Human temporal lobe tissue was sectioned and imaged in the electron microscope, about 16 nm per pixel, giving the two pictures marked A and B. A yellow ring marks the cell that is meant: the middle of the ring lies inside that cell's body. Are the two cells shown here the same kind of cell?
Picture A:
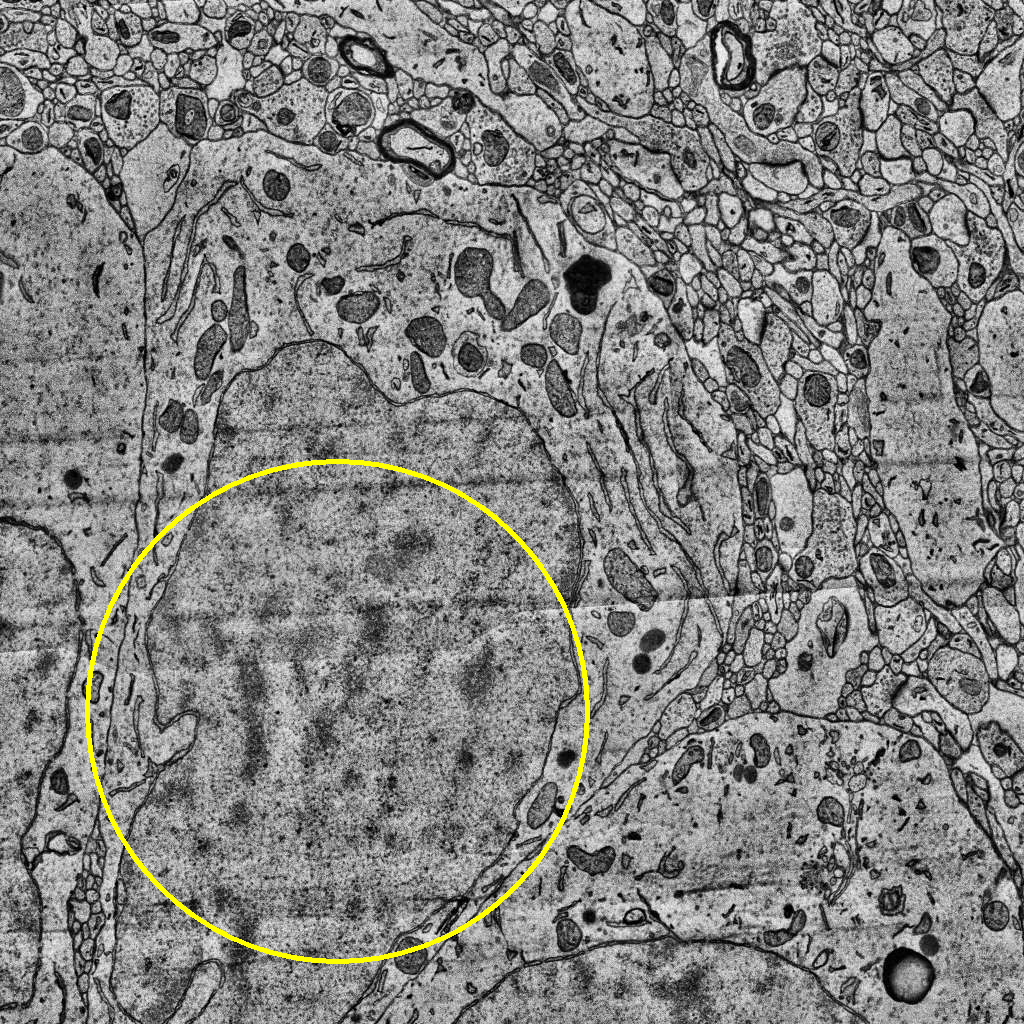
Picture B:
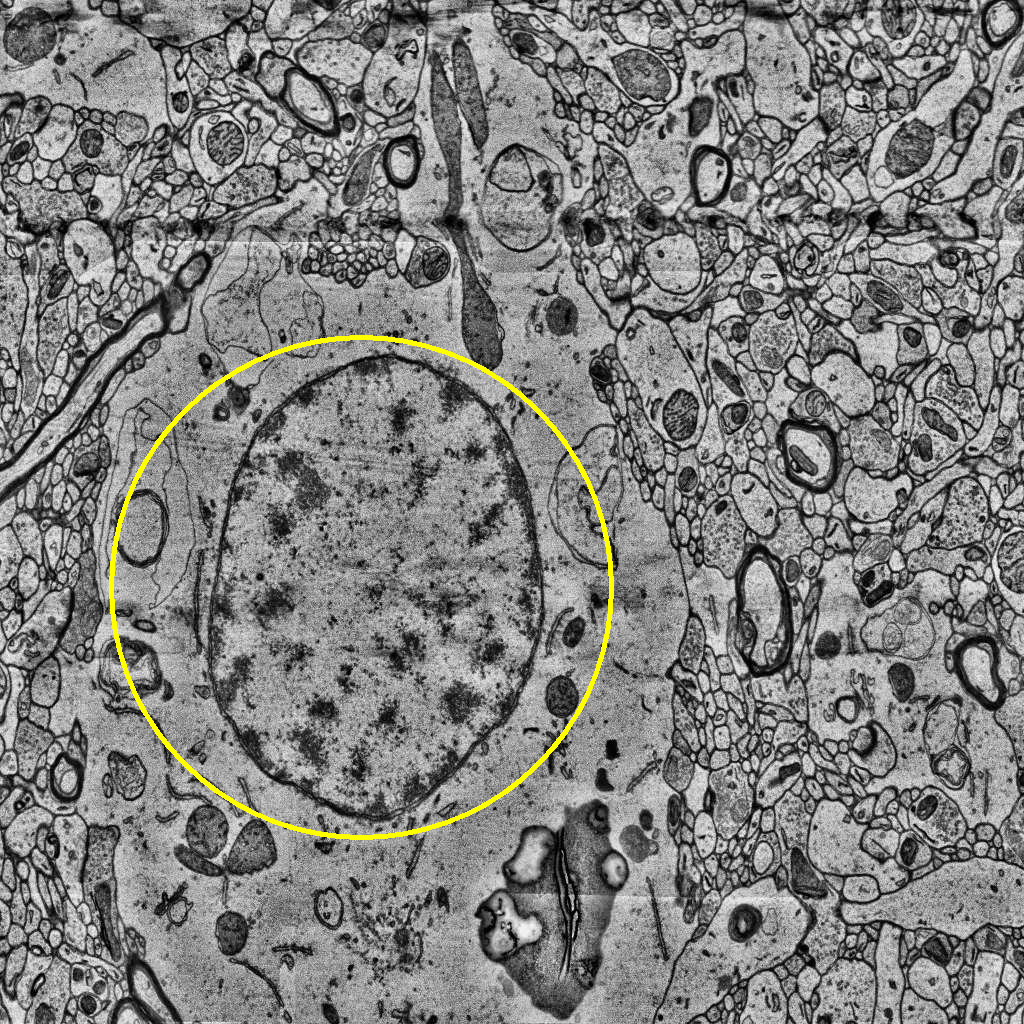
No, the types are not the same, since picture A shows an interneuron and picture B an astrocyte.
